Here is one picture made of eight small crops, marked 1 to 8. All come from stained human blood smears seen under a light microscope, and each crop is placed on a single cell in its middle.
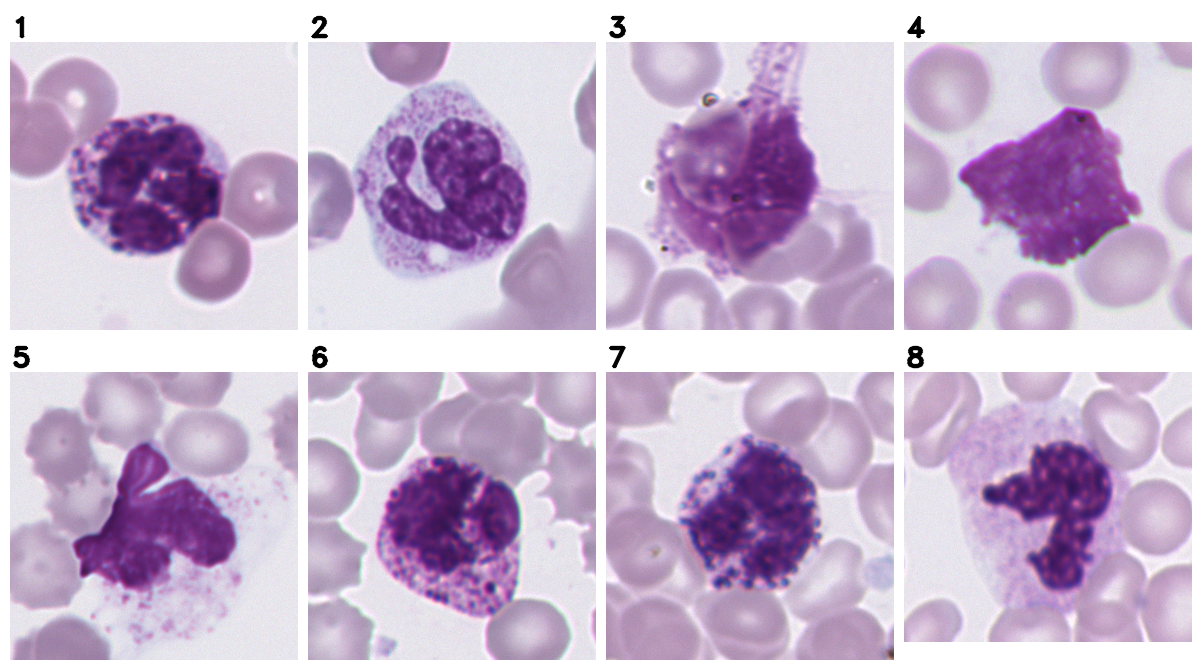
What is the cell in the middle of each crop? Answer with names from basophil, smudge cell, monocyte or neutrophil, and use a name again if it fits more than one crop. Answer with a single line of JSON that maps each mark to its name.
{"1": "basophil", "2": "neutrophil", "3": "smudge cell", "4": "smudge cell", "5": "neutrophil", "6": "basophil", "7": "basophil", "8": "neutrophil"}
